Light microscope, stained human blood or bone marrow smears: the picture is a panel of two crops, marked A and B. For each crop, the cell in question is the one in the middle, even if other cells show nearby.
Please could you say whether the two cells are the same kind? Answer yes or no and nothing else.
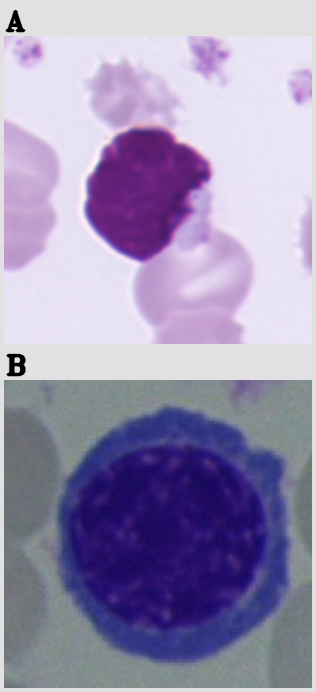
no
